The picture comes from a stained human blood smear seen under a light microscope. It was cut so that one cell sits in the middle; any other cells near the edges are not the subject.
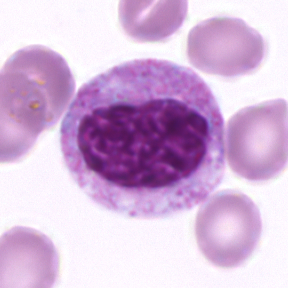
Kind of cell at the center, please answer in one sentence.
The centered cell in this crop is a metamyelocyte.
